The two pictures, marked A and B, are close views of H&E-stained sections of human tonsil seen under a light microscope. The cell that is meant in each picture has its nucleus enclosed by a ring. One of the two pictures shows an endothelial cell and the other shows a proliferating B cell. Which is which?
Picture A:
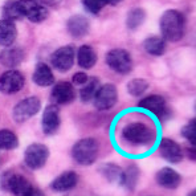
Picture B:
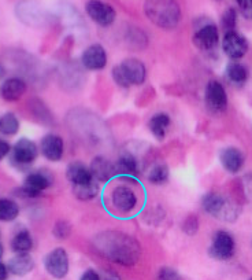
A: proliferating B cell
B: endothelial cell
